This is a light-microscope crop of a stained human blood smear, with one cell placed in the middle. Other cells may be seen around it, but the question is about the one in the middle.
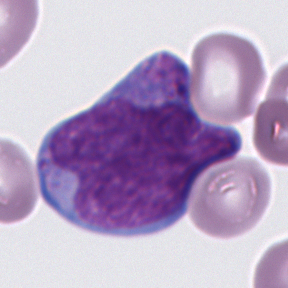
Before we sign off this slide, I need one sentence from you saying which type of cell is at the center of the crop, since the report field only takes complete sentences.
The central cell, amid any neighbouring cells, is an atypical promyelocyte.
